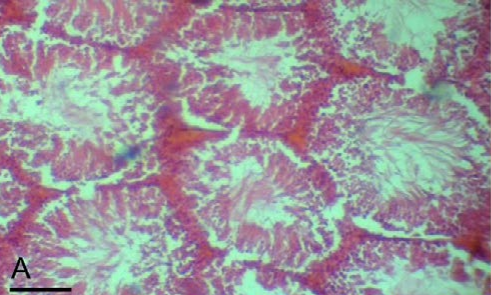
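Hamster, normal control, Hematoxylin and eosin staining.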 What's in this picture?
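These are seminiferous tubules cut across, each lined by a thick, crowded spermatogenic epithelium of many layers of purple nuclei. Pale, fibrillar material fills the tubule centres, and only narrow strips of pink interstitial tissue separate the tubules.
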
